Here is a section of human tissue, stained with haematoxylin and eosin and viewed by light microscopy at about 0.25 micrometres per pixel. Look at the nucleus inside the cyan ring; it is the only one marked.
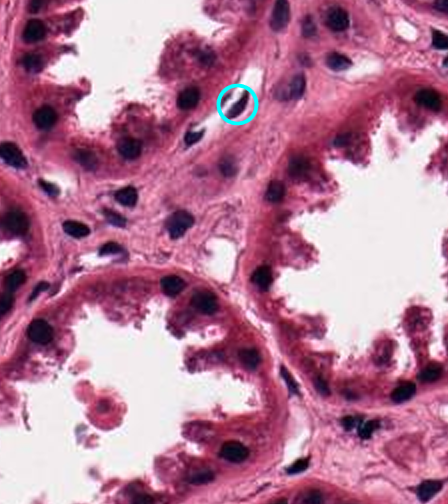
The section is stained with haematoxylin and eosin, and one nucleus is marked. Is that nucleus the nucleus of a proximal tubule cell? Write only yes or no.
no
